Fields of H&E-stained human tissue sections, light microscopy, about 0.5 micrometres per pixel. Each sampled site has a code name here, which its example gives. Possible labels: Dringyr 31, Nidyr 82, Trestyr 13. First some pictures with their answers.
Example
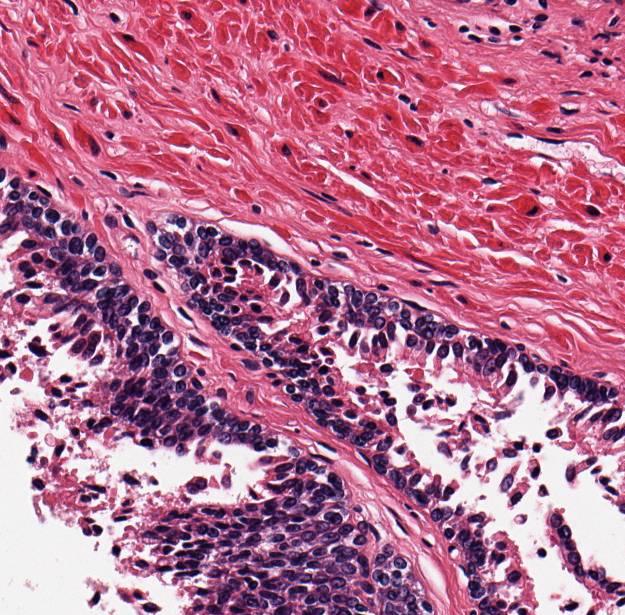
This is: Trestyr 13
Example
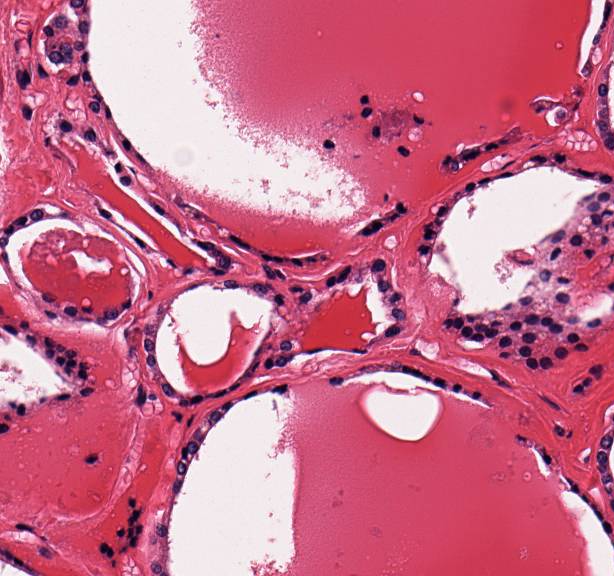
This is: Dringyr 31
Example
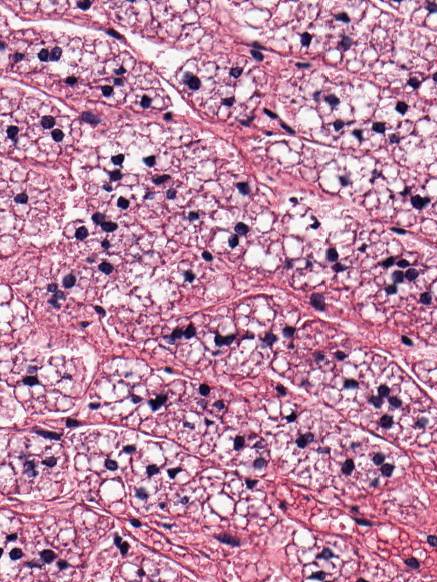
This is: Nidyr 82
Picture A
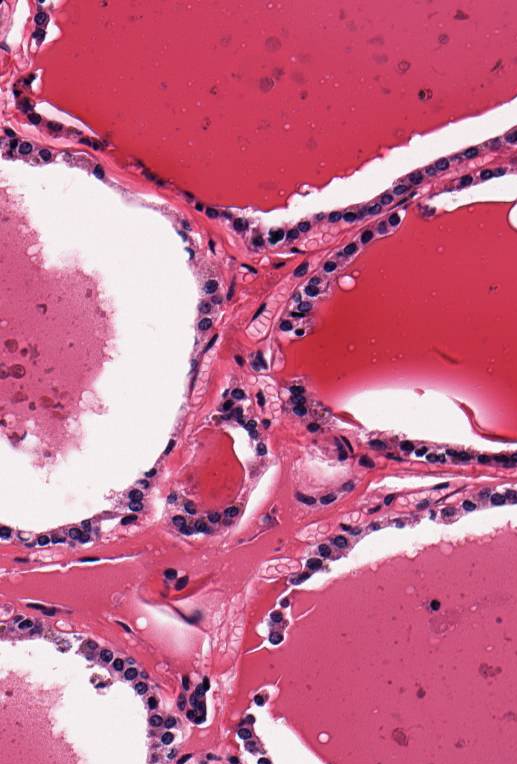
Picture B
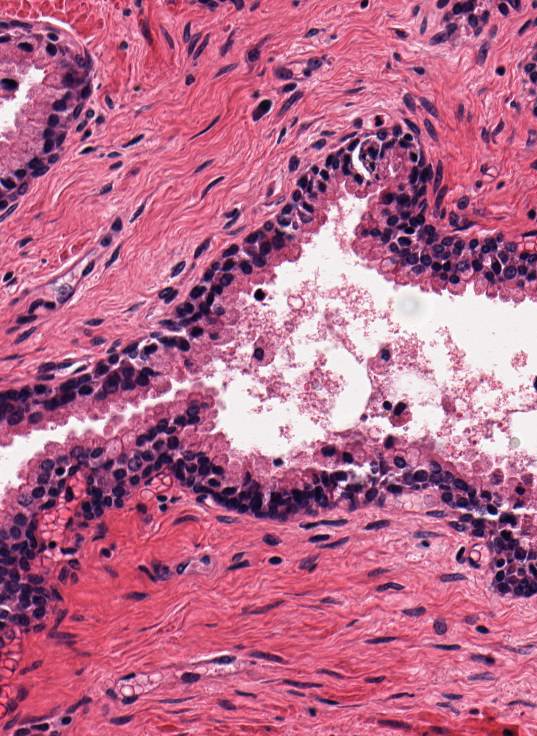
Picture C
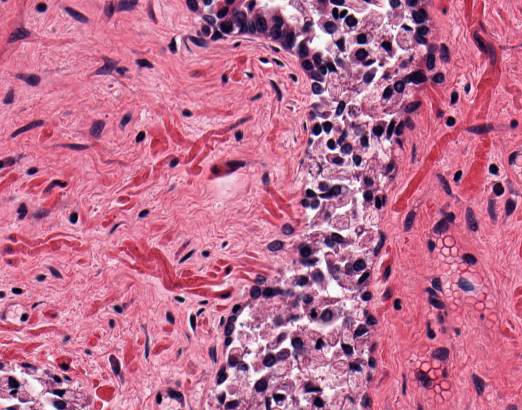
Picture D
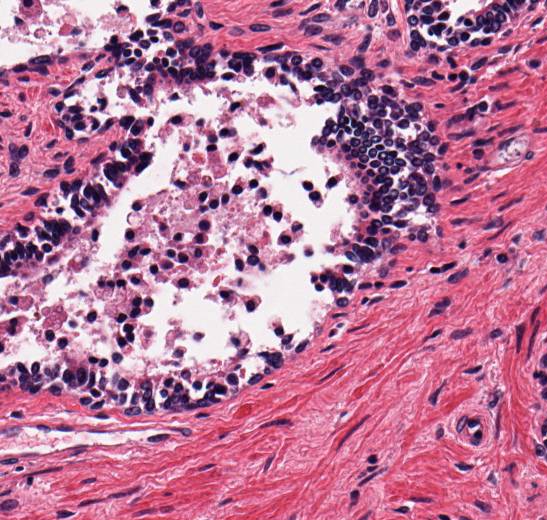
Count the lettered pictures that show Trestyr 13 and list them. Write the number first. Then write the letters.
3, namely B, C, D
